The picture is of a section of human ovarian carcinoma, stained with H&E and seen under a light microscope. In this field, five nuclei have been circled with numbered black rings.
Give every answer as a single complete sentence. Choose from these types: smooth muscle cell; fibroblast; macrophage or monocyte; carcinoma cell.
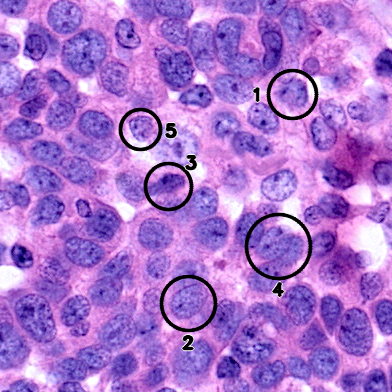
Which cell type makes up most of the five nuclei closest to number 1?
Around number 1, most of the five nearest nuclei are those of carcinoma cells.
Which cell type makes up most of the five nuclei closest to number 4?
Around number 4, most of the five nearest nuclei are those of macrophages or monocytes.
